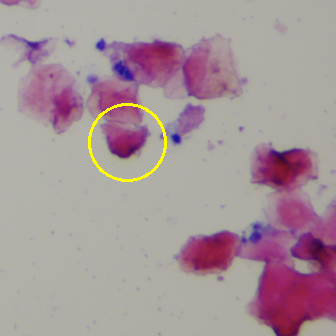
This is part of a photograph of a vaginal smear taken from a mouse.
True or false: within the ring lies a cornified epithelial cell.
True: a cornified epithelial cell lies within the ring.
